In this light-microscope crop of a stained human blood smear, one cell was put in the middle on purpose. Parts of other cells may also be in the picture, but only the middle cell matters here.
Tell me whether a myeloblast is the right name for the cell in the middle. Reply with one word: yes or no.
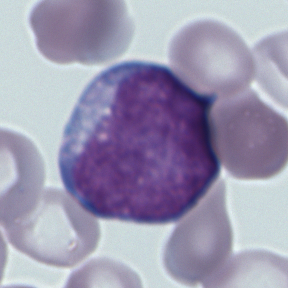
yes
